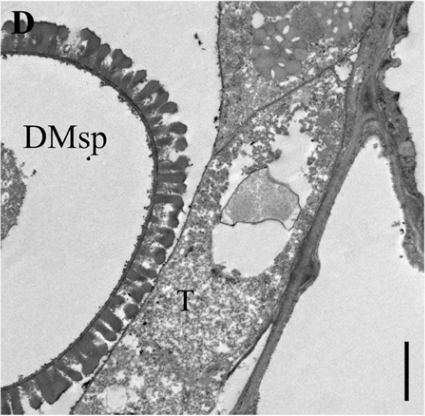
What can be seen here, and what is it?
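This view shows a degenerated microspore on the left beside a band of tapetum in an anther, seen by transmission electron microscopy. The microspore is surrounded by a thick, dark outer wall made of closely set columns, but its interior is almost empty and pale, with little cytoplasm left. The tapetal band beside it has a loose, granular and patchy cytoplasm with pale spaces and a few irregular dense bodies. Outside the tapetum lie thin, flattened outer layers of the anther wall.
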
